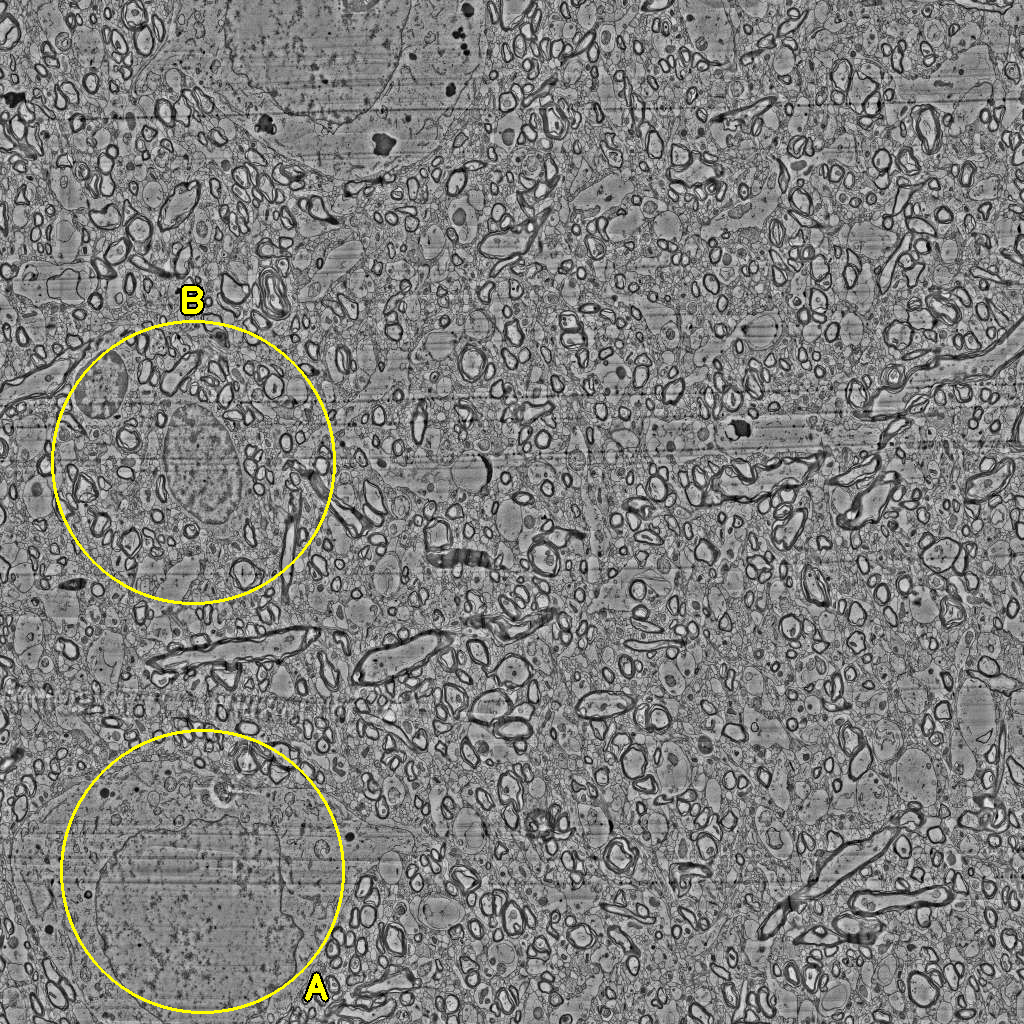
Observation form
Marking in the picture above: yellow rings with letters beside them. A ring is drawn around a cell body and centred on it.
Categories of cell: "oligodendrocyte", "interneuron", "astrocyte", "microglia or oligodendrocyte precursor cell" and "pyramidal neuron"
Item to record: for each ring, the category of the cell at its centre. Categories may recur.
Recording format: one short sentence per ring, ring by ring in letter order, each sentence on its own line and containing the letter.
Ring A is placed on a pyramidal neuron.
Ring B is placed on an oligodendrocyte.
